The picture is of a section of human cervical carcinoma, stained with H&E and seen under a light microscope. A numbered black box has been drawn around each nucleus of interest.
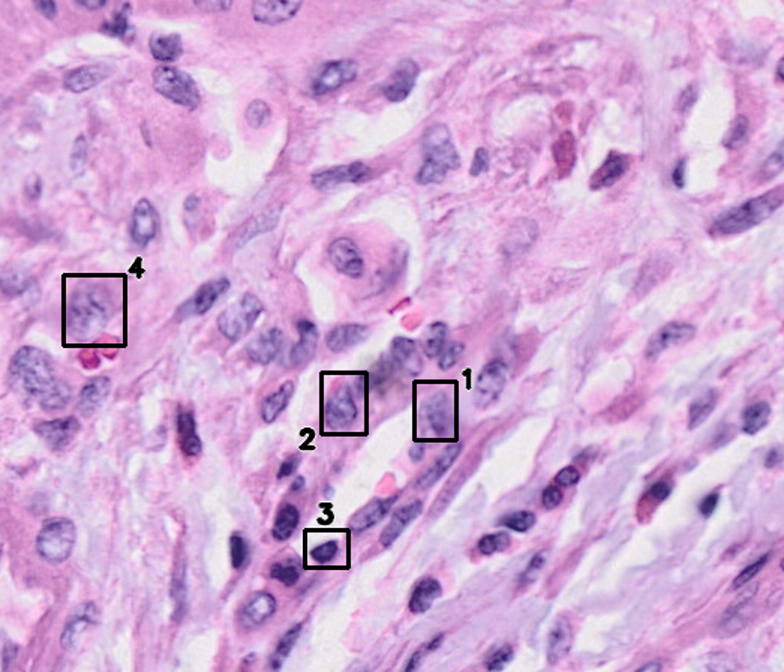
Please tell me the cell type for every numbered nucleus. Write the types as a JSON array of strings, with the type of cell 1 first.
["endothelial cell", "endothelial cell", "lymphocyte", "endothelial cell"]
